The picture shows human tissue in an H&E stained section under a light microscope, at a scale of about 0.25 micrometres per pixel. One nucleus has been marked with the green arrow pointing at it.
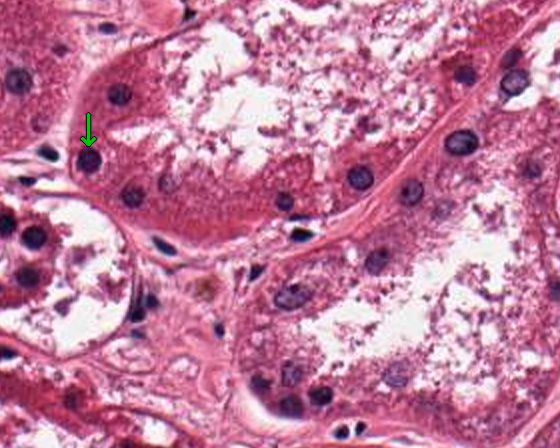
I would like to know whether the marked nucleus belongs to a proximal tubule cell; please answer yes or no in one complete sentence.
Yes, what is marked here is the nucleus of a proximal tubule cell.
